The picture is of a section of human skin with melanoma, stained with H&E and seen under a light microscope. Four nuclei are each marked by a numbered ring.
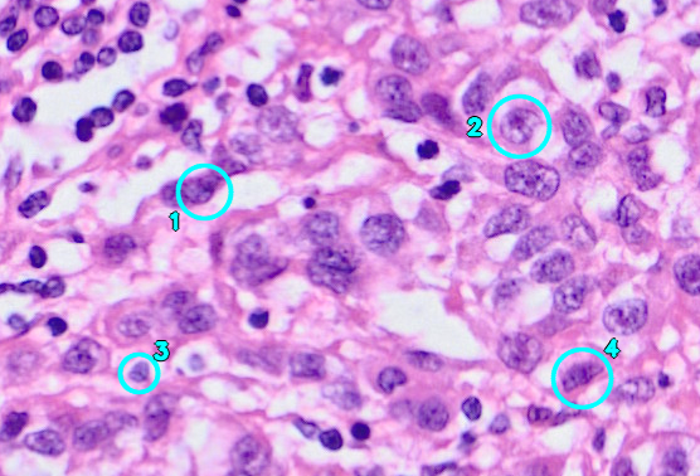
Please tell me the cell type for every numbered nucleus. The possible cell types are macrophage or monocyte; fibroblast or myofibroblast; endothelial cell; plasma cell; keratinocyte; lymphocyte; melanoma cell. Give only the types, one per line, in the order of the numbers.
melanoma cell
melanoma cell
lymphocyte
melanoma cell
